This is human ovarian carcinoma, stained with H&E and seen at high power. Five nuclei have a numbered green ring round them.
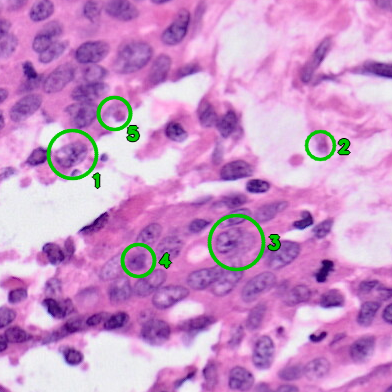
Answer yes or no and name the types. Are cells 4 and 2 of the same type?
No, by type, cell 4 is a carcinoma cell and cell 2 is a fibroblast.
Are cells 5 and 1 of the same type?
No, that does not hold; cell 5 is a carcinoma cell and cell 1 is a macrophage or monocyte.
